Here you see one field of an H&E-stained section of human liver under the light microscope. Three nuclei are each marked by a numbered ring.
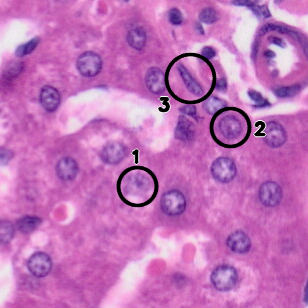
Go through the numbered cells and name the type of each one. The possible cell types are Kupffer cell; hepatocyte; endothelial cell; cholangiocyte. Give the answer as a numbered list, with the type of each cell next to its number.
1. hepatocyte
2. cholangiocyte
3. cholangiocyte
